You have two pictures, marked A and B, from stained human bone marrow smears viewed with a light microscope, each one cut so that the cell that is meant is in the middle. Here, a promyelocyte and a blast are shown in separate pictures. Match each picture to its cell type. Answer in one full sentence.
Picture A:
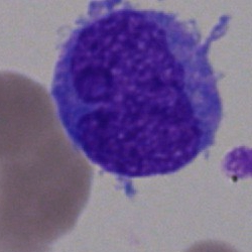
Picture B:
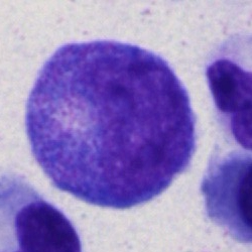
Picture A is of a blast, and picture B is of a promyelocyte.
